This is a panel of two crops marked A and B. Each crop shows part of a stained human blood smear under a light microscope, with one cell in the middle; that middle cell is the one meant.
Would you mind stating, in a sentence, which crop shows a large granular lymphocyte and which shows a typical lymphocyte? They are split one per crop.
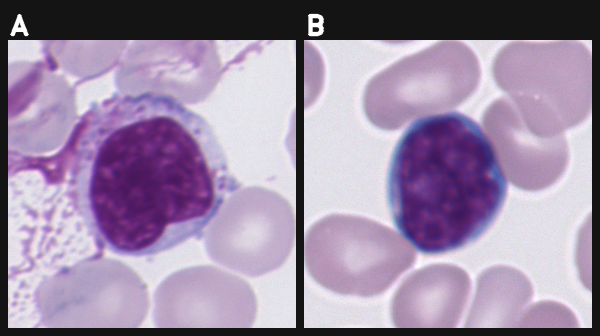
At the centre of crop A lies a large granular lymphocyte, and at the centre of crop B lies a typical lymphocyte.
